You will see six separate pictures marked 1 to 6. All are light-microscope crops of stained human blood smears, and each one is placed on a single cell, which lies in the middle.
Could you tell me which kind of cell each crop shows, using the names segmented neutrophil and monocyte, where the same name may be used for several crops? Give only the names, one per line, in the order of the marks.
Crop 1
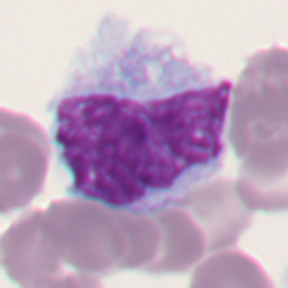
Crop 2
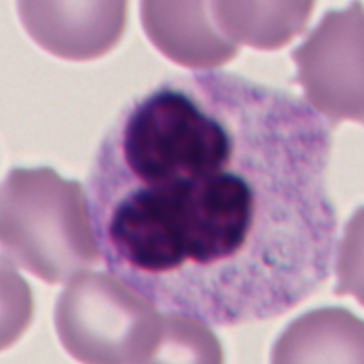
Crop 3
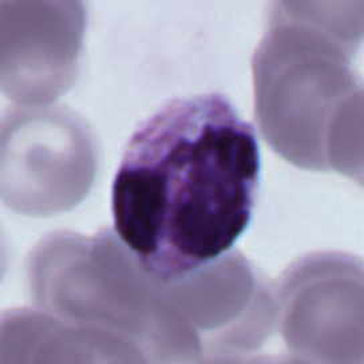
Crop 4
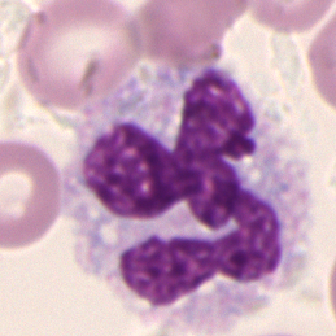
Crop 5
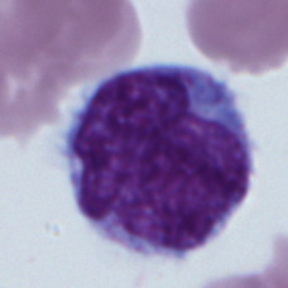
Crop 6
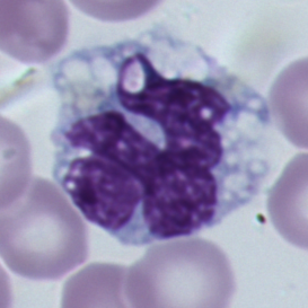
monocyte
segmented neutrophil
segmented neutrophil
monocyte
monocyte
monocyte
